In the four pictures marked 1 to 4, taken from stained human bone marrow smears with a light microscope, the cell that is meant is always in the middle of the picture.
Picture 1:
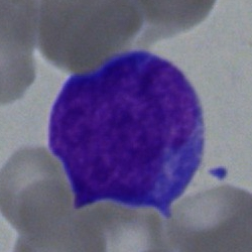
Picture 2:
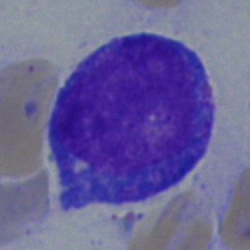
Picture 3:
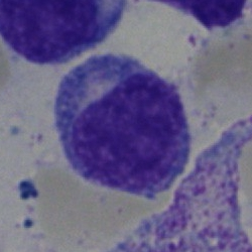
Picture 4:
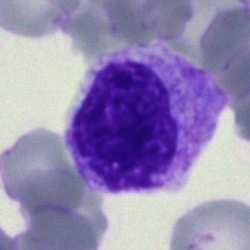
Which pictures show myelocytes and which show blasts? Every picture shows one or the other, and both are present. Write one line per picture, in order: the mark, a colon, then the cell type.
1: blast
2: blast
3: myelocyte
4: myelocyte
